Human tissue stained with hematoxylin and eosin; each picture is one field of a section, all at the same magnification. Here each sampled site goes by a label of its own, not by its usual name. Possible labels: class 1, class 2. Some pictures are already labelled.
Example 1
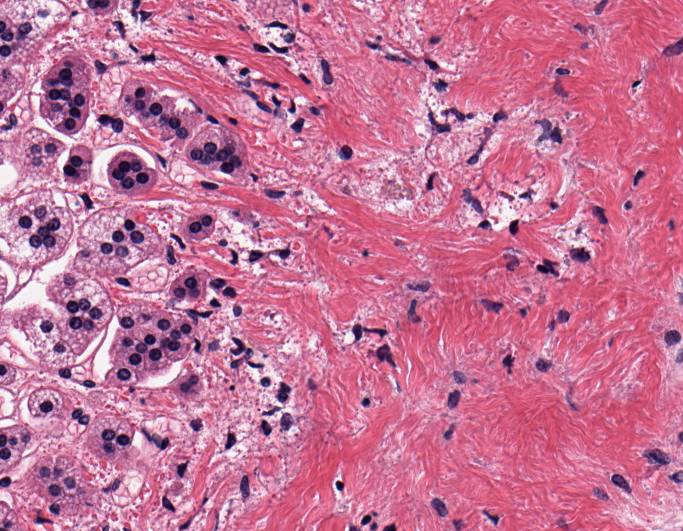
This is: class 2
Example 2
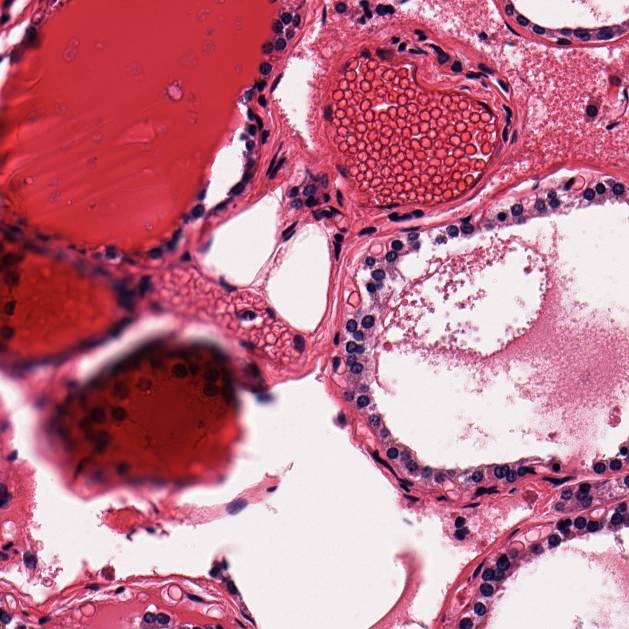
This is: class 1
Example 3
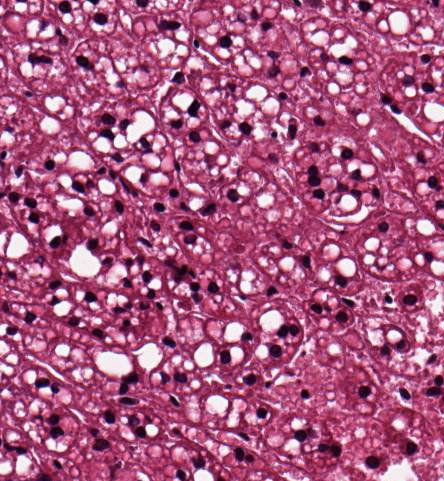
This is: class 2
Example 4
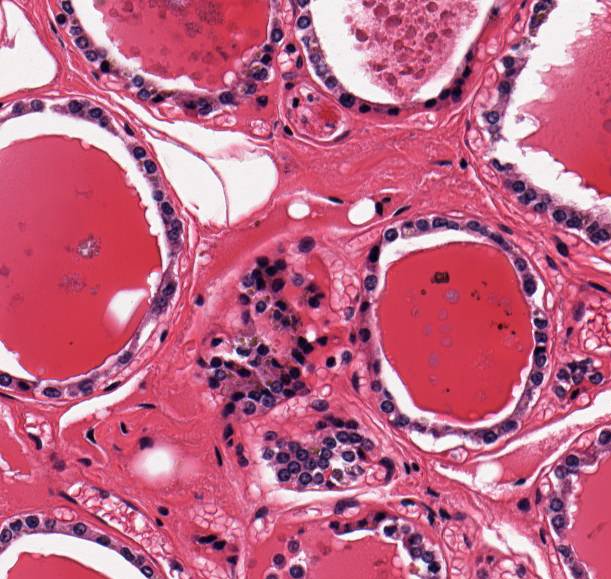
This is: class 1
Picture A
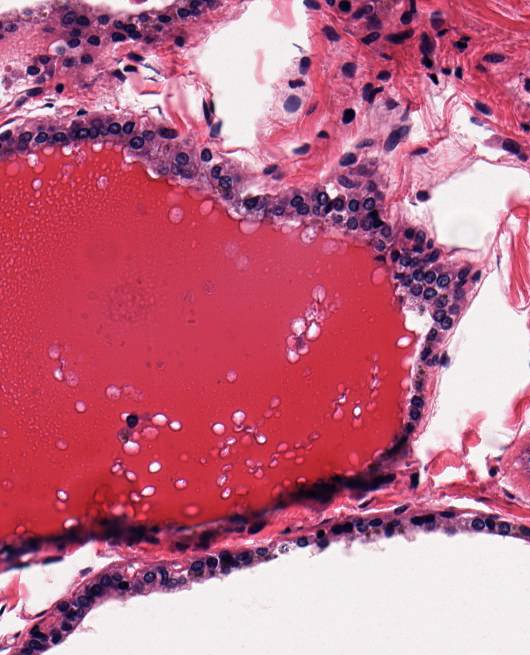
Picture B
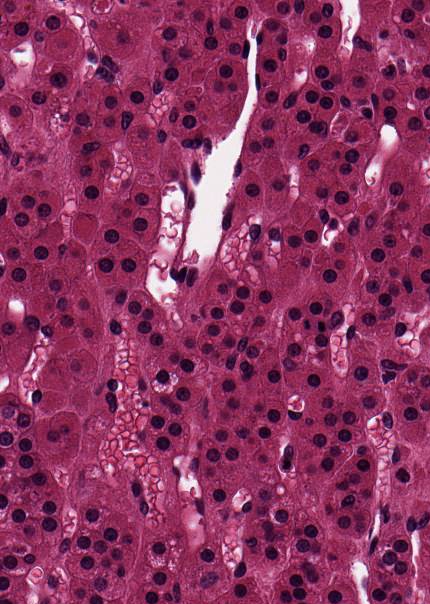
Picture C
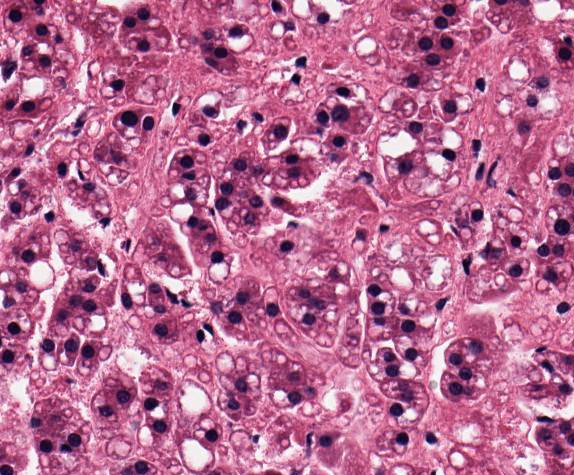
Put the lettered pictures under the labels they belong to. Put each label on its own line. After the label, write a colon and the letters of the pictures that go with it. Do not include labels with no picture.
class 1: A
class 2: B, C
